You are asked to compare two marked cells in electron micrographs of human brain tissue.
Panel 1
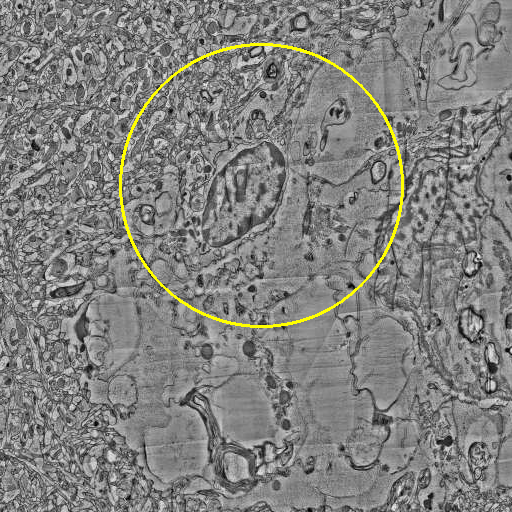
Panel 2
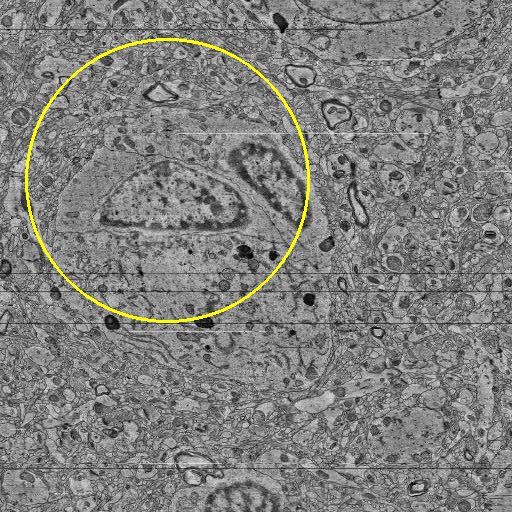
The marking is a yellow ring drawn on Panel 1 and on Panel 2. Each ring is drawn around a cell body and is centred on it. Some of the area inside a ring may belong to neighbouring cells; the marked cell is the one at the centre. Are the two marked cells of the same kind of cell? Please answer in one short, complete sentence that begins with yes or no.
Yes, the two marked cells are of the same kind.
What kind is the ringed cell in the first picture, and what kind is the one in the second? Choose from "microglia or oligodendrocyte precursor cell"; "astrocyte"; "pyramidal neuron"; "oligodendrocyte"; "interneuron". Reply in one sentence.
The first and the second cell are each a microglial cell or oligodendrocyte precursor cell.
